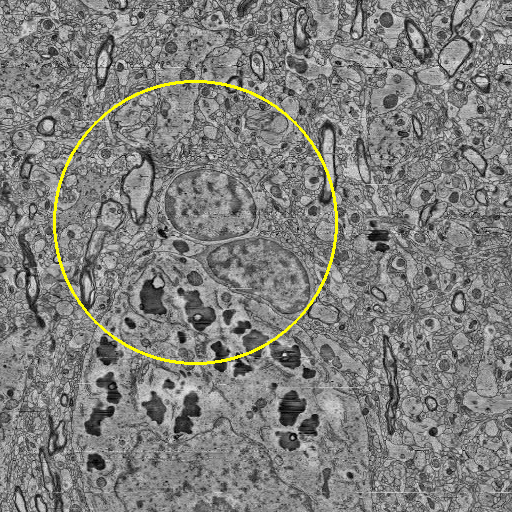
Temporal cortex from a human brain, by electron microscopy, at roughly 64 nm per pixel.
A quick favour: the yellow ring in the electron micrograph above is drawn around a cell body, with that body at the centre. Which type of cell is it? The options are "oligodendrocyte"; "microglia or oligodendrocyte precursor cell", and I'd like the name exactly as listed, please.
microglia or oligodendrocyte precursor cell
